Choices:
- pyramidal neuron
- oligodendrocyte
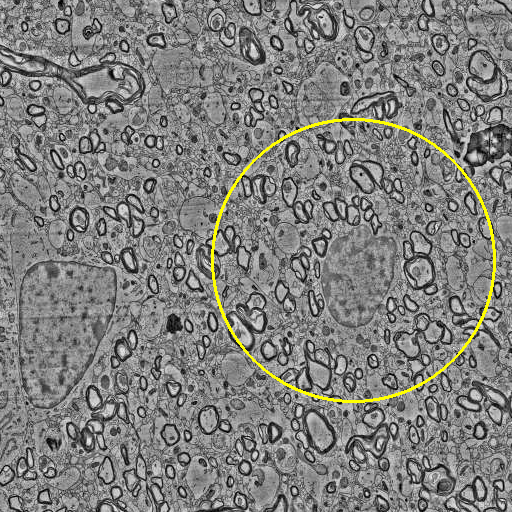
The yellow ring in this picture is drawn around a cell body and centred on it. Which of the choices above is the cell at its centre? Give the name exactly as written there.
oligodendrocyte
